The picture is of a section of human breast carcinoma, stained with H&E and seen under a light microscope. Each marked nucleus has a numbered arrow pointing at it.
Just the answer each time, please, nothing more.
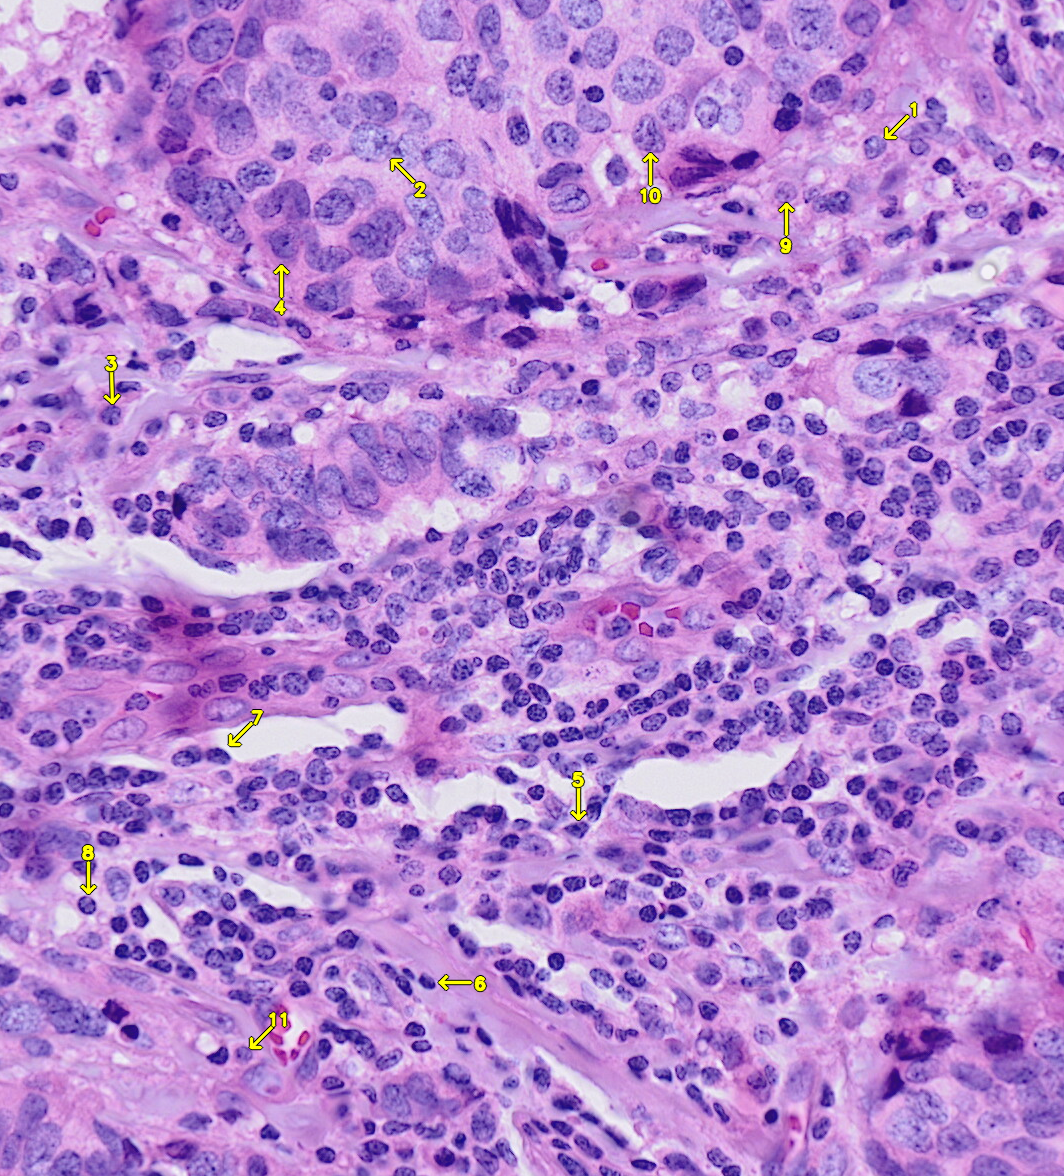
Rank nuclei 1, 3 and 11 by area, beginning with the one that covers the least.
11, 3, 1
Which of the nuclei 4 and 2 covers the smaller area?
4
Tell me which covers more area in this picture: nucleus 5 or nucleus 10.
10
